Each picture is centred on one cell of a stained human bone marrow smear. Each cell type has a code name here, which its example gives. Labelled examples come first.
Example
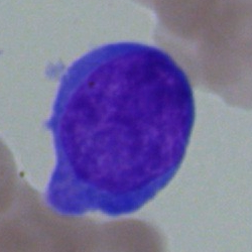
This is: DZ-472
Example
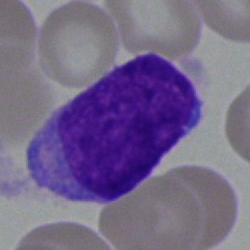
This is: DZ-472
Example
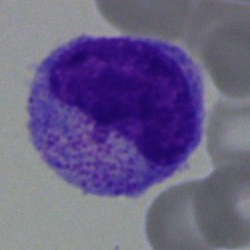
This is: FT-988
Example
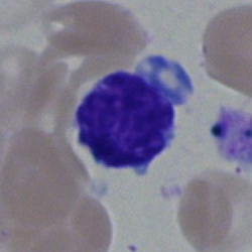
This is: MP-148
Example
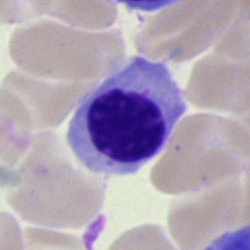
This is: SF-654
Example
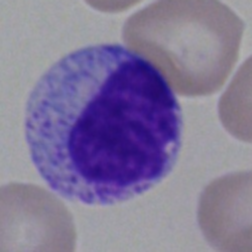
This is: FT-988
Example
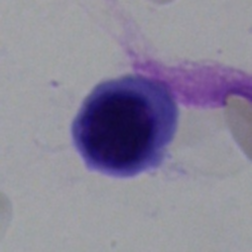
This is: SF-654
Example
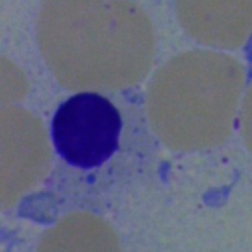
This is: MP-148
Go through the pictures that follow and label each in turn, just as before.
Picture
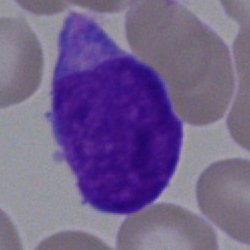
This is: DZ-472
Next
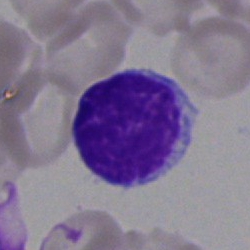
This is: MP-148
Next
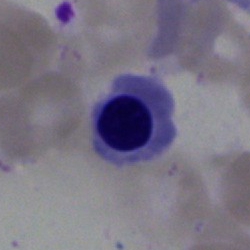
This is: SF-654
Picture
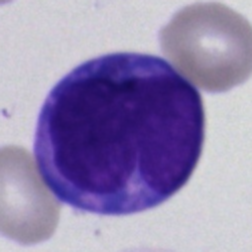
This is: DZ-472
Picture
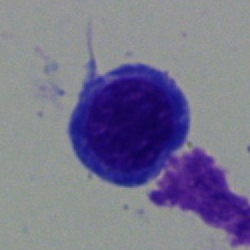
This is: SF-654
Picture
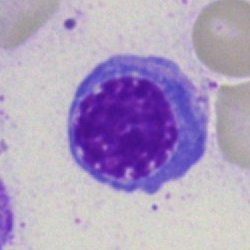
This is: SF-654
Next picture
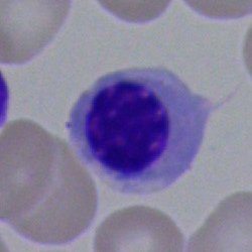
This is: SF-654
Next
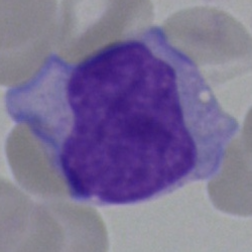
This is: DZ-472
